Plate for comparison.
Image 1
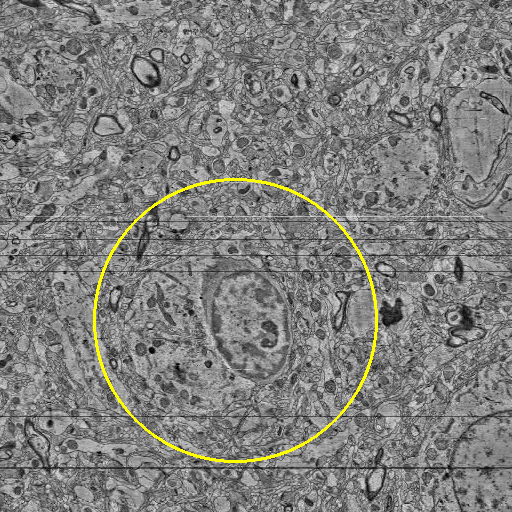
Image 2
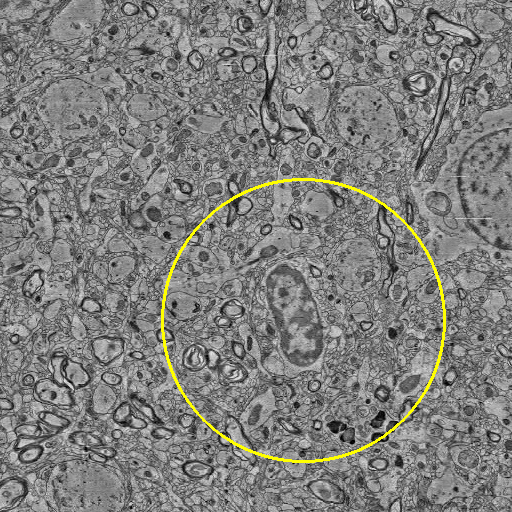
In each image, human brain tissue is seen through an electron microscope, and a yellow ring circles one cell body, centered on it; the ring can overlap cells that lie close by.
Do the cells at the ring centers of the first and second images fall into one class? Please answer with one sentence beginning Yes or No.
No, the first and second images show two classes of cell at the ring centers.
